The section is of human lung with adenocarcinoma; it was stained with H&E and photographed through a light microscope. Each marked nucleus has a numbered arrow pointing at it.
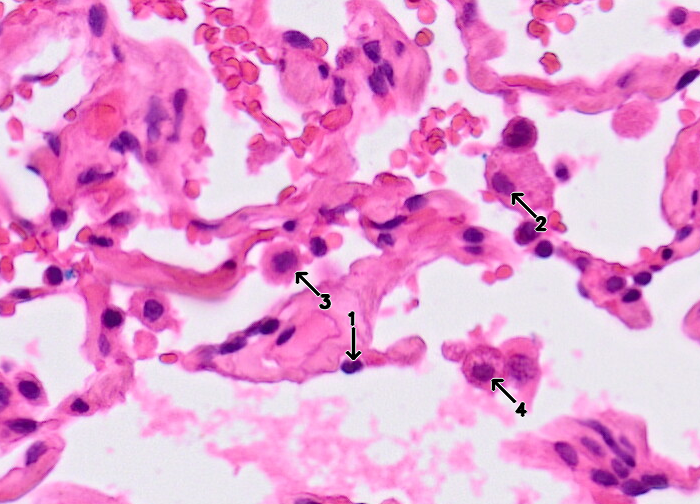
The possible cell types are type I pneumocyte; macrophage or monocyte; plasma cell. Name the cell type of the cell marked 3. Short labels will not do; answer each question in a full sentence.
To a macrophage or monocyte belongs the nucleus marked 3.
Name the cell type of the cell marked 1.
As for number 1, that cell is a type I pneumocyte.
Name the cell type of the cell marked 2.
The cell numbered 2 has been identified as a macrophage or monocyte.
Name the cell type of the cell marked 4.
The cell referenced by the number 4 is a macrophage or monocyte in this field.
